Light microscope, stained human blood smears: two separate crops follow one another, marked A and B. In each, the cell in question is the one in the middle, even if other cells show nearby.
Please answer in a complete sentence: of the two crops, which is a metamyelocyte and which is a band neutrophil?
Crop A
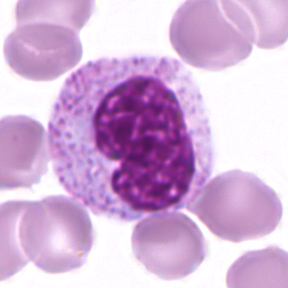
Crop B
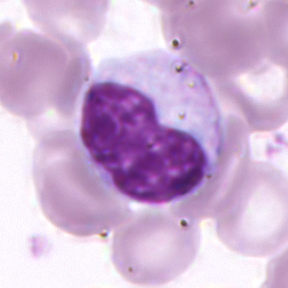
Crop A is a band neutrophil, and, separately, crop B is a metamyelocyte.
